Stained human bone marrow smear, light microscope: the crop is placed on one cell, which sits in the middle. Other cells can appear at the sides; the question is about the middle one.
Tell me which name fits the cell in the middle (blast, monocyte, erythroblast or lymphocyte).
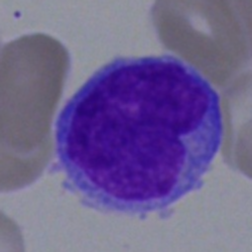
blast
